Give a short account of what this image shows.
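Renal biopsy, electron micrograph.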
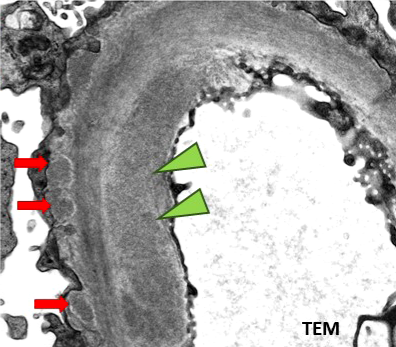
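Small dark, electron-dense nodules sit along the outer surface of the membrane, beneath the overlying epithelial cell processes. On the inner side, facing the lumen, a broad band of dense material lies along the membrane. Cell profiles with dark cytoplasm border the membrane at the upper left.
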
